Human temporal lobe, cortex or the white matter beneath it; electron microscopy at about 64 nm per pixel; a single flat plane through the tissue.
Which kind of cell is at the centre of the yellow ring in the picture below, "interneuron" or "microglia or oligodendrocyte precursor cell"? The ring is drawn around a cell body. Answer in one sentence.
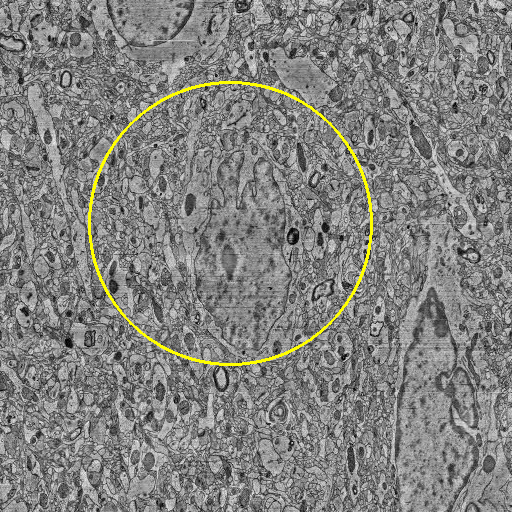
The ring's central cell is an interneuron.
